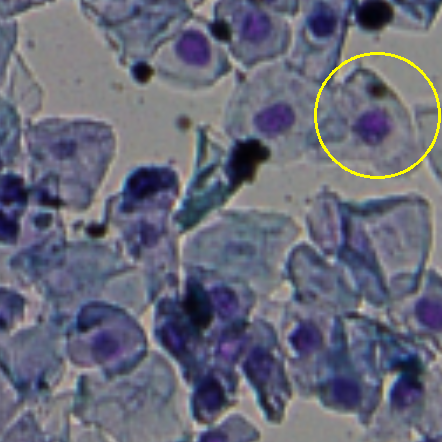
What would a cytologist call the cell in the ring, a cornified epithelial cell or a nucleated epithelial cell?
A cytologist would call it a nucleated epithelial cell.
